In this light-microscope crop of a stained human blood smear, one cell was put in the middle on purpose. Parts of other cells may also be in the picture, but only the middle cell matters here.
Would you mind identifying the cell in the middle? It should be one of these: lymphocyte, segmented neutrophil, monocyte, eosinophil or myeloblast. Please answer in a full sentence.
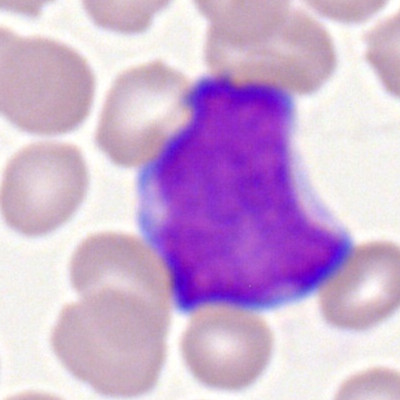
In the crop, the cell of interest at the centre is a myeloblast.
